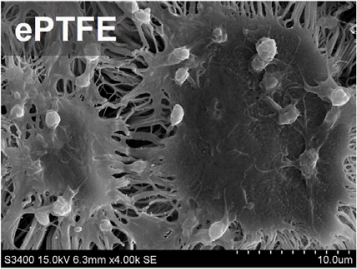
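The surface here is not made of cylindrical fibres but of broad, dense nodes joined and surrounded by a web of very fine fibrils. Scattered over the nodes and fibrils lie many small rounded bodies of about two micrometres, several with short projections reaching out onto the surface. These are platelets adhered to the membrane, many of them showing short processes where they touch the surface.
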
